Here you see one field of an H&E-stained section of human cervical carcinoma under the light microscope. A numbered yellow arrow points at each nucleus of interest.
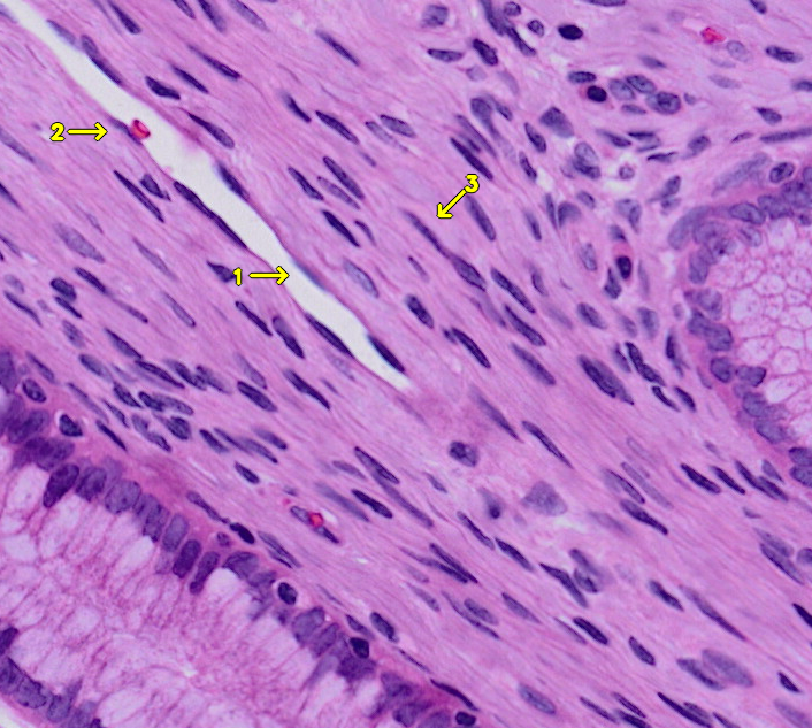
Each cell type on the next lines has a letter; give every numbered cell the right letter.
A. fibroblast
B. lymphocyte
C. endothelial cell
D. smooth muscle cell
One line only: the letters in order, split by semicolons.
C; C; A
